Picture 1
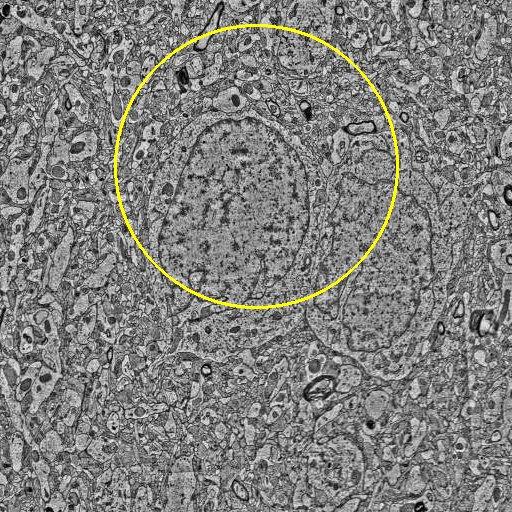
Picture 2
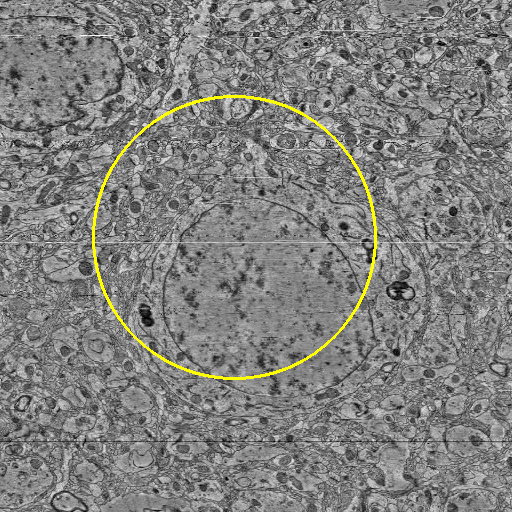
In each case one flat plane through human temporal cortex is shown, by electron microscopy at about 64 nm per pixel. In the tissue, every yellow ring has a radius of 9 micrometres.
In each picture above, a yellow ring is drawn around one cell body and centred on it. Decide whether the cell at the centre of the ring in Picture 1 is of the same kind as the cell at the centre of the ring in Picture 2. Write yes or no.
no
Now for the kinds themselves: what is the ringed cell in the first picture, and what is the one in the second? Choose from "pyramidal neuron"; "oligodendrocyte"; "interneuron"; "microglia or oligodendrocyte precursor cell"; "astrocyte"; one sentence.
Here the first cell is an interneuron and the second cell is a pyramidal neuron.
